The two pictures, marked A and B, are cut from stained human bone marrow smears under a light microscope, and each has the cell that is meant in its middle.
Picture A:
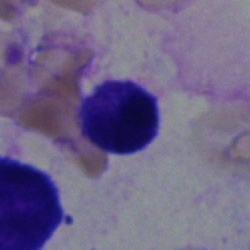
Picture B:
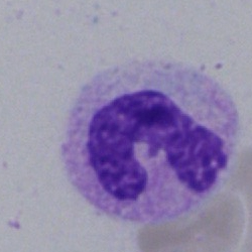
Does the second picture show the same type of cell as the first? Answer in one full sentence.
No. Picture A shows a lymphocyte, but picture B shows a band neutrophil.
